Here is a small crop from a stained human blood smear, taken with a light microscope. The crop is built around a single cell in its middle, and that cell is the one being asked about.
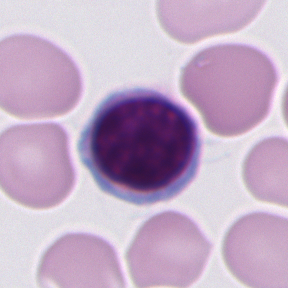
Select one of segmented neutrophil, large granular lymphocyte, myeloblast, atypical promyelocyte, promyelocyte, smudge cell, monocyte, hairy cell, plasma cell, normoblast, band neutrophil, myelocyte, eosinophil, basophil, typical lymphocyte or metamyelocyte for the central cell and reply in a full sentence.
Looking at the middle of the crop, the cell there is a typical lymphocyte.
